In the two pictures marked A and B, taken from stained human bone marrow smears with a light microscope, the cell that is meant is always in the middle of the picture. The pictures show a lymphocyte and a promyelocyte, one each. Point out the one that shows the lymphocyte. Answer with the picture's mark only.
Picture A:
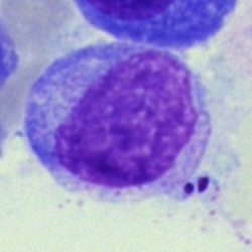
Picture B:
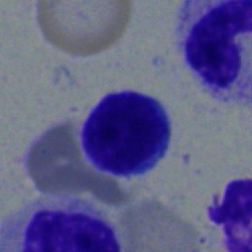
B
